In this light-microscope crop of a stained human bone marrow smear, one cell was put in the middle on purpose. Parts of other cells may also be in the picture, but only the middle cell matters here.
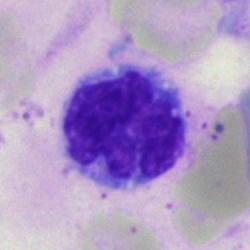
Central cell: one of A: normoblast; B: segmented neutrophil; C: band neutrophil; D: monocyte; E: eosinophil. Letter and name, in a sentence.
The correct choice is option D, which identifies the middle cell as a monocyte.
